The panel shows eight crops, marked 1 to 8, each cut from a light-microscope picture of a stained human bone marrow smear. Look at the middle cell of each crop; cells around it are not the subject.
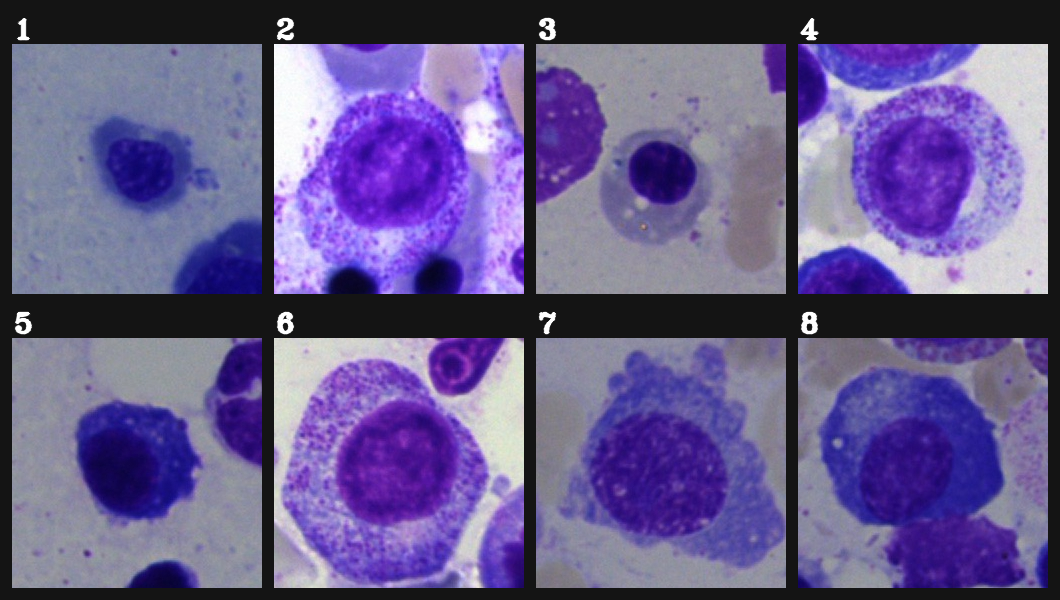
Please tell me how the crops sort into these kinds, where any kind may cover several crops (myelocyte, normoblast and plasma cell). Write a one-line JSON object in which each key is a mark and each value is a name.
{"1": "normoblast", "2": "myelocyte", "3": "normoblast", "4": "myelocyte", "5": "plasma cell", "6": "myelocyte", "7": "plasma cell", "8": "plasma cell"}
